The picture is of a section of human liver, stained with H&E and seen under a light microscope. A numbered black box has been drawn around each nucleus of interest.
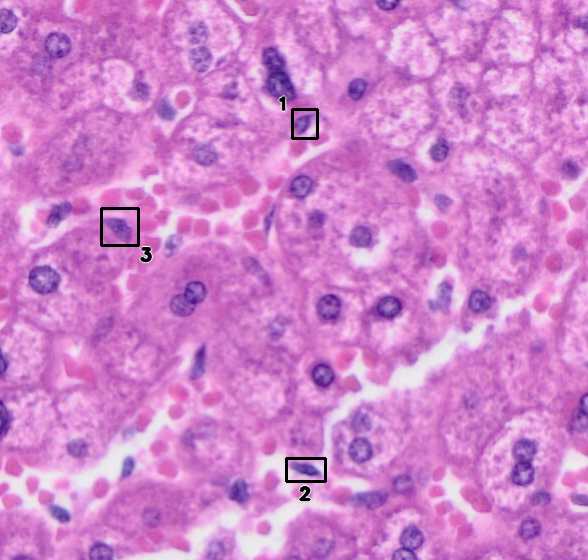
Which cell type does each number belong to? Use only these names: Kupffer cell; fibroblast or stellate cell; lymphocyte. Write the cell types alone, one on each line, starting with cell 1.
Kupffer cell
lymphocyte
fibroblast or stellate cell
